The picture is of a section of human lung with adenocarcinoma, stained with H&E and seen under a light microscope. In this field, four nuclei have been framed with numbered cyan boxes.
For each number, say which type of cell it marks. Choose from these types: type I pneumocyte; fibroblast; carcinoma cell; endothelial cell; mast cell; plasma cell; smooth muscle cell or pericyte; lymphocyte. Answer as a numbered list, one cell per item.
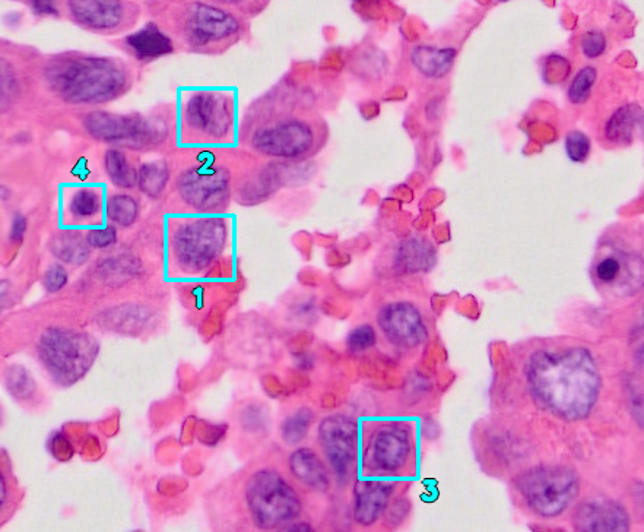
1. carcinoma cell
2. carcinoma cell
3. carcinoma cell
4. lymphocyte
